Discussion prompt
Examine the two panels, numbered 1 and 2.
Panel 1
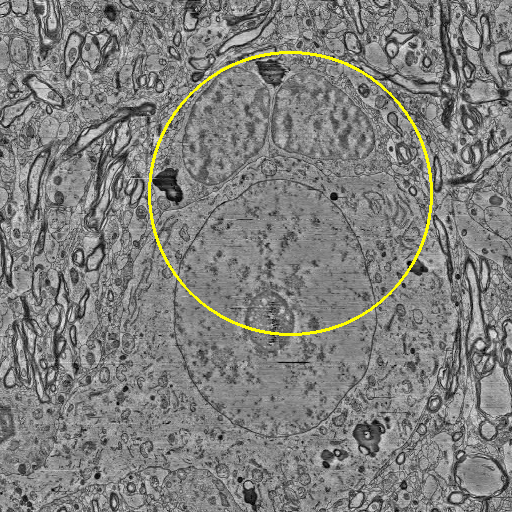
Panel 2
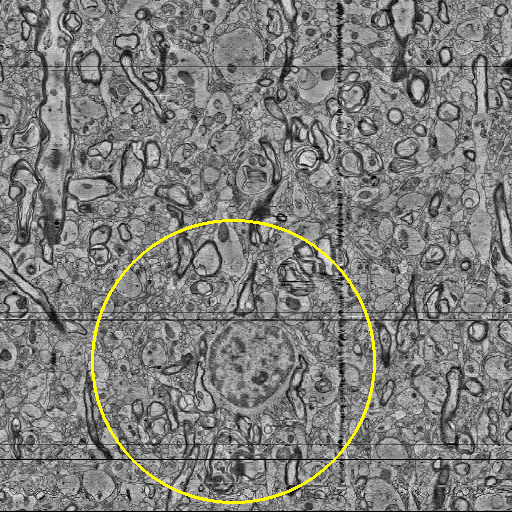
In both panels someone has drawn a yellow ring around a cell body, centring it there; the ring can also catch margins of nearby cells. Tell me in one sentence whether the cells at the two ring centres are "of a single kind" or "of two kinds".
Taken together, the two cells centred in the rings of Panels 1 and 2 are of two kinds.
